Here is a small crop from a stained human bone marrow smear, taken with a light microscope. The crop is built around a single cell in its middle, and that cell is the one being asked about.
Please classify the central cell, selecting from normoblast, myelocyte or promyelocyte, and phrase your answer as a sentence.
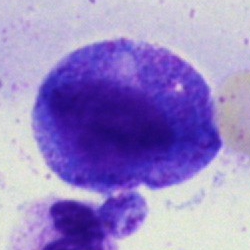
The middle of this crop is occupied by a promyelocyte.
